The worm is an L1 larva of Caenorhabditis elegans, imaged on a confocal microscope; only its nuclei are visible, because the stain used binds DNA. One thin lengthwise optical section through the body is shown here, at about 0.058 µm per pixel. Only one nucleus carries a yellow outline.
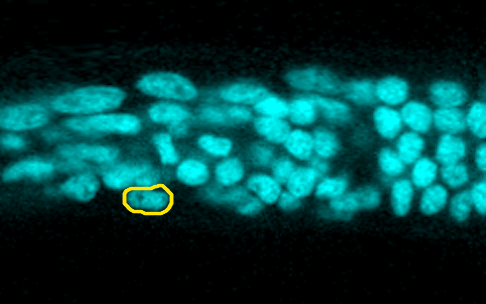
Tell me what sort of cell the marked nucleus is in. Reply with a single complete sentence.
What is marked is the nucleus of a body wall muscle cell.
